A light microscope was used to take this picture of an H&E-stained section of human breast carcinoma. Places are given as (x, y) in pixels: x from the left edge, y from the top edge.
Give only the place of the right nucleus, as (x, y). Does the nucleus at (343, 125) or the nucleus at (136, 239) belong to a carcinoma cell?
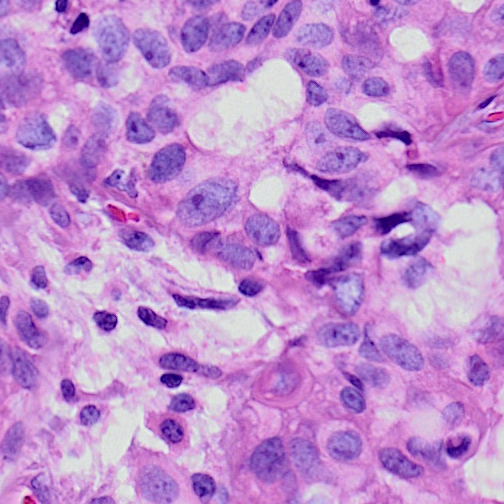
(343, 125)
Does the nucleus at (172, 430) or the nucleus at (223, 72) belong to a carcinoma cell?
(223, 72)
